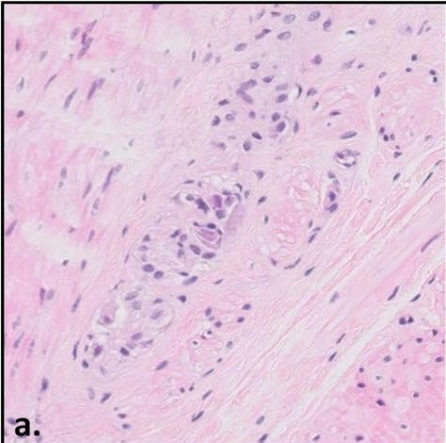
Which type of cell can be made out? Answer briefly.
Ganglion cells.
